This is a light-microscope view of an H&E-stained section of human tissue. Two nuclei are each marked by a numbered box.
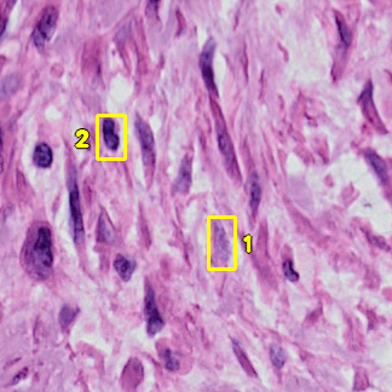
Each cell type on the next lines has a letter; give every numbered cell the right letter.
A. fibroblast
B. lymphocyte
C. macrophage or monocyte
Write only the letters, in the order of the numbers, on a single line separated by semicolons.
A; B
